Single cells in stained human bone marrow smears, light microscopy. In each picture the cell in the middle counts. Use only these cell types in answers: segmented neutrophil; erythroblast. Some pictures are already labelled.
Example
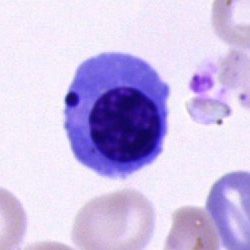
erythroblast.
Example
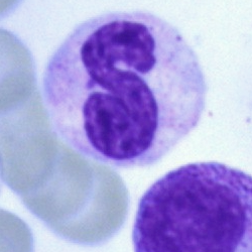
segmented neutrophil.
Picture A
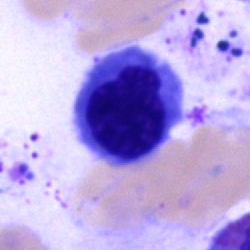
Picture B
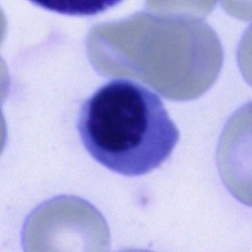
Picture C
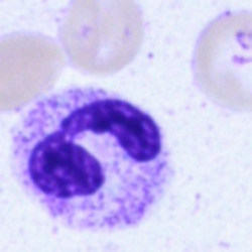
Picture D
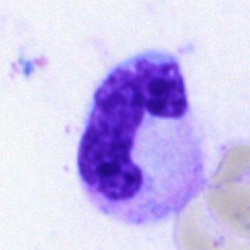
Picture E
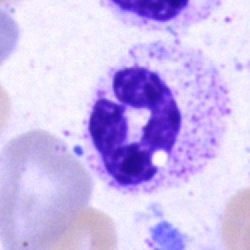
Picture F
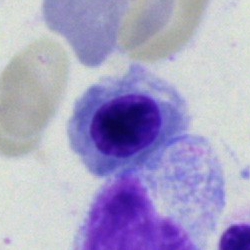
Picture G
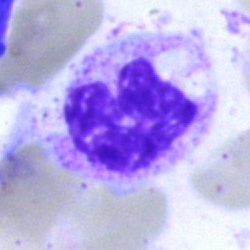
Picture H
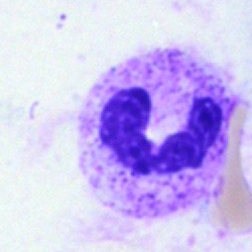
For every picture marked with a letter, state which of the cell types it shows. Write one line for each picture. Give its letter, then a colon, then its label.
A: erythroblast.
B: erythroblast.
C: segmented neutrophil.
D: segmented neutrophil.
E: segmented neutrophil.
F: erythroblast.
G: segmented neutrophil.
H: segmented neutrophil.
